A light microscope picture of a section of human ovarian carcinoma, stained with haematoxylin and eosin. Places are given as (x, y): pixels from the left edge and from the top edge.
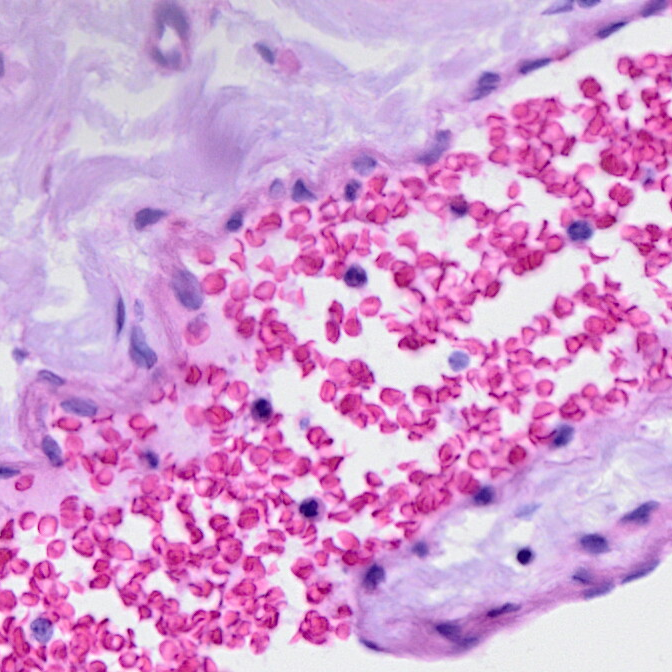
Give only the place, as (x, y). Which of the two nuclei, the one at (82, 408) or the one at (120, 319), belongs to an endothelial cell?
(82, 408)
